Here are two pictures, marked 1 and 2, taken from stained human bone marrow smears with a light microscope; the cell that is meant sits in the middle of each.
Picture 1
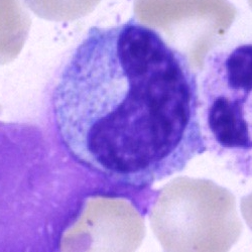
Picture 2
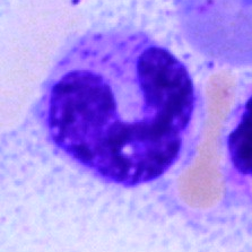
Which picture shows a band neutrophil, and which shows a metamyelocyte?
1: metamyelocyte
2: band neutrophil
